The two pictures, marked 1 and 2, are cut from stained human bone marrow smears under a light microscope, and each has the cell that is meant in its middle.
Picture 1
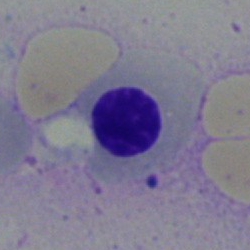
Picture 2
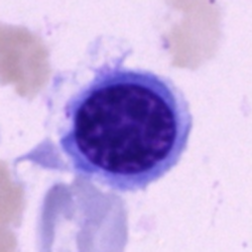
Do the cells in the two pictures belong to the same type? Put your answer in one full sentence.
Yes, they are the same type: both are erythroblasts.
